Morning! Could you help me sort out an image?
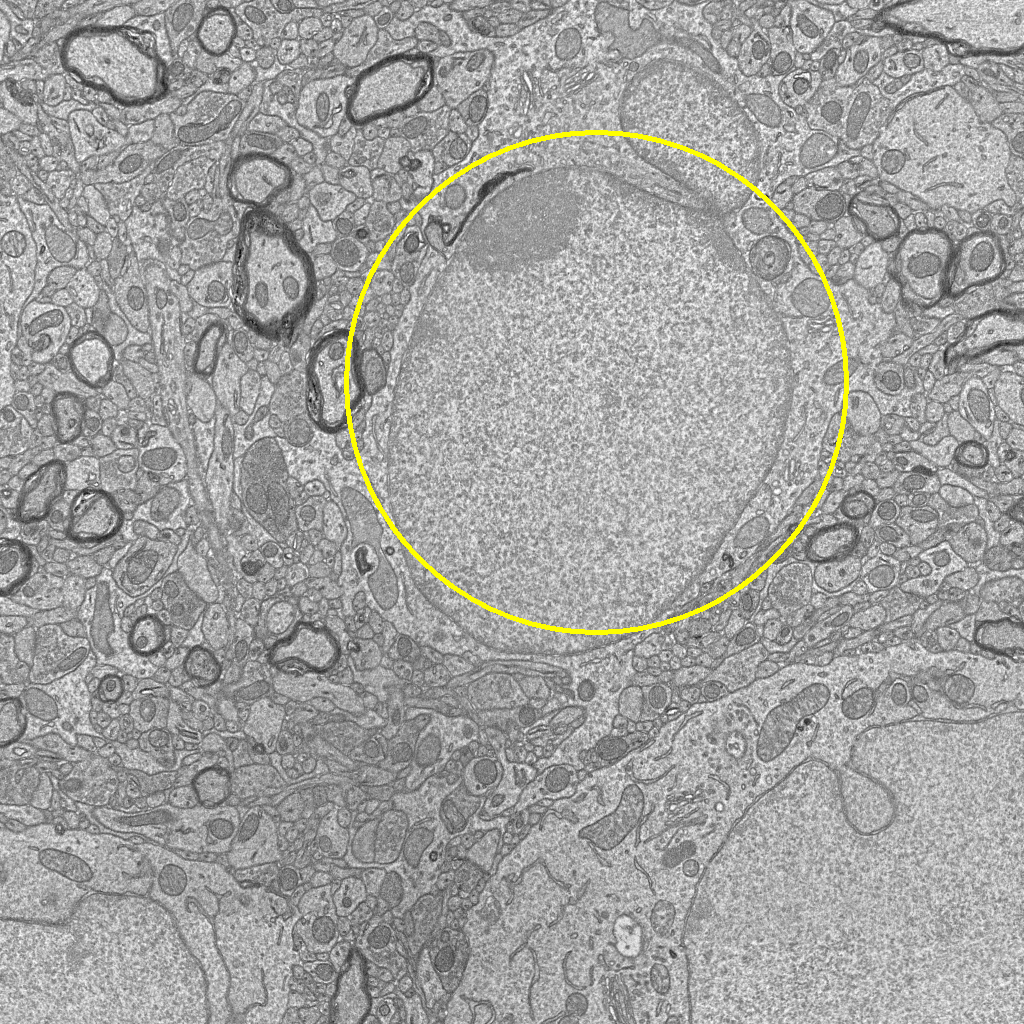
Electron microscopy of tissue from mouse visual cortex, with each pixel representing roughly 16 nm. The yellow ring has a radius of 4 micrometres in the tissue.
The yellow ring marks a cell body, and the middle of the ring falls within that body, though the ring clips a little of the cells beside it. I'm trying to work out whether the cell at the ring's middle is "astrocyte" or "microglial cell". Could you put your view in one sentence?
The cell body at the ring's middle is that of an astrocyte.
